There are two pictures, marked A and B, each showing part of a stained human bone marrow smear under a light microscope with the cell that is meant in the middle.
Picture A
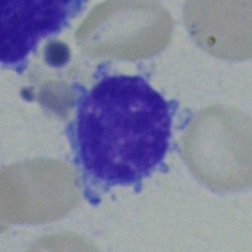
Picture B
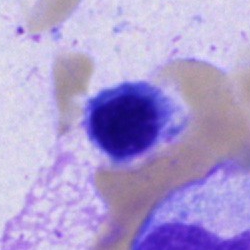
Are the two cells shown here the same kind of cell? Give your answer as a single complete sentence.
No, picture A shows a lymphocyte and picture B shows an erythroblast.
